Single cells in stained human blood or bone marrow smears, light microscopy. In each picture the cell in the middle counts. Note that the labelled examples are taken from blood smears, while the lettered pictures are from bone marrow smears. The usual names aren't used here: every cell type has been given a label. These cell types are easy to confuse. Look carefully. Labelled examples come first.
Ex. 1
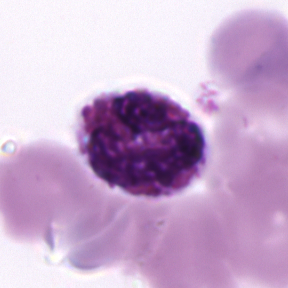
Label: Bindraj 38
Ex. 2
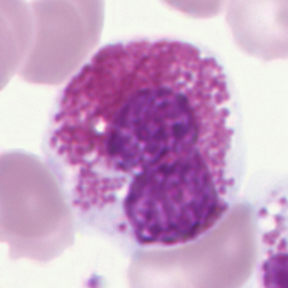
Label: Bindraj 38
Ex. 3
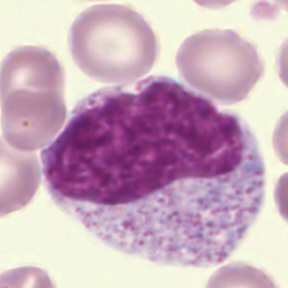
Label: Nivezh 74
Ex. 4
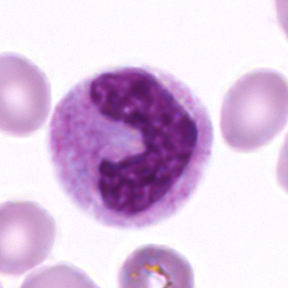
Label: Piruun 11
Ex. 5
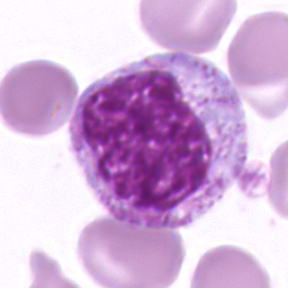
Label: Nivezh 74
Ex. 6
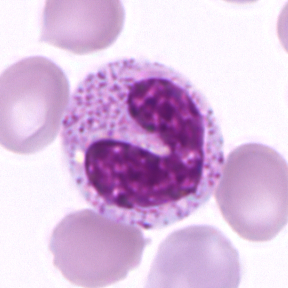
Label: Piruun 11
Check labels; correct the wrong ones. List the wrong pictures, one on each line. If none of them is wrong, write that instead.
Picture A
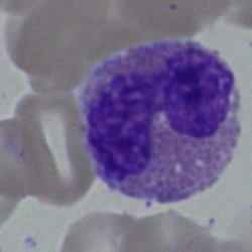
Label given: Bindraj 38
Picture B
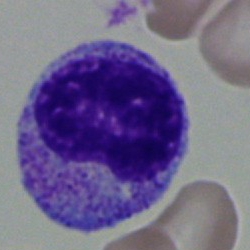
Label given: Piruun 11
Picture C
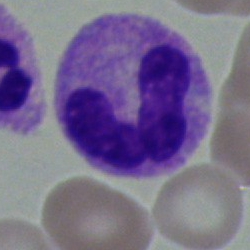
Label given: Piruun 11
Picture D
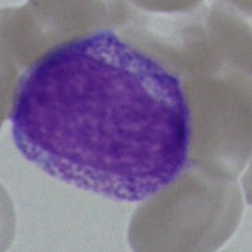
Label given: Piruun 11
B should be Nivezh 74, not Piruun 11
D should be Nivezh 74, not Piruun 11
